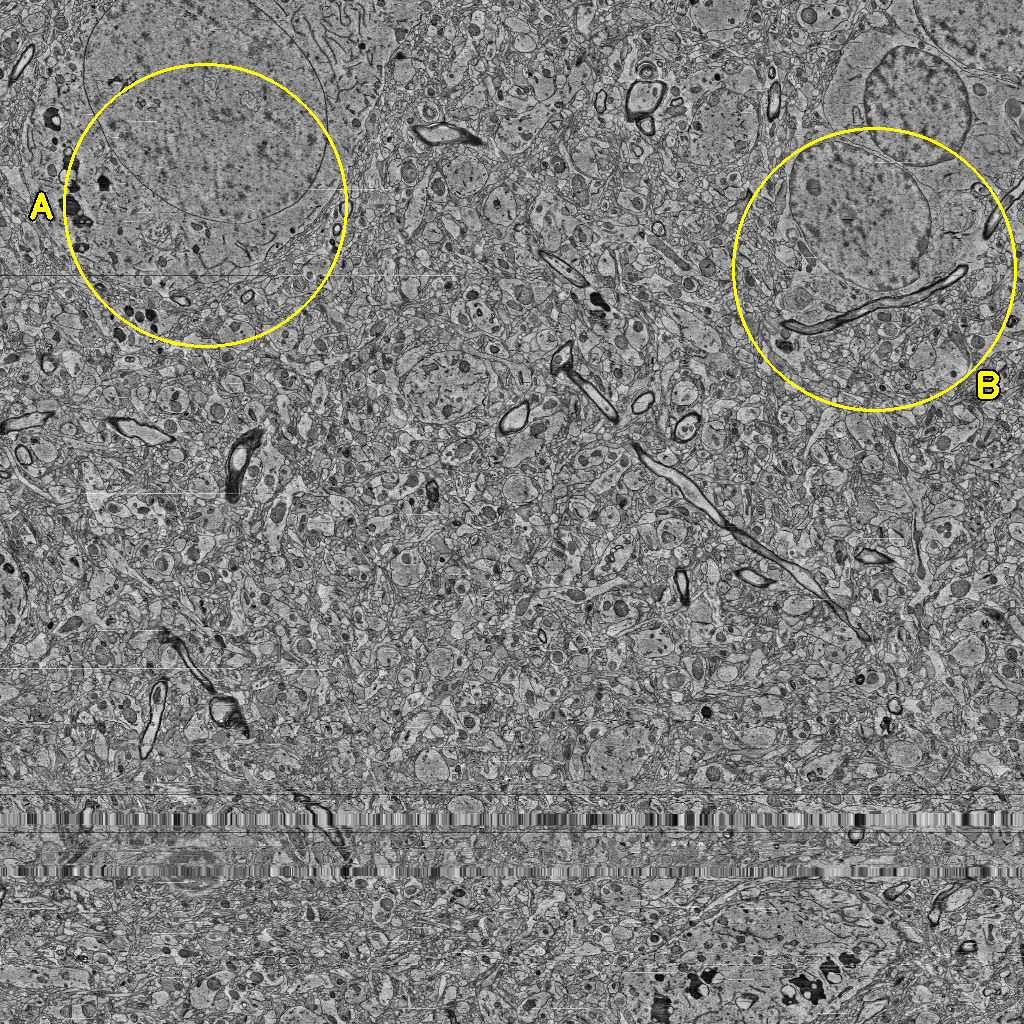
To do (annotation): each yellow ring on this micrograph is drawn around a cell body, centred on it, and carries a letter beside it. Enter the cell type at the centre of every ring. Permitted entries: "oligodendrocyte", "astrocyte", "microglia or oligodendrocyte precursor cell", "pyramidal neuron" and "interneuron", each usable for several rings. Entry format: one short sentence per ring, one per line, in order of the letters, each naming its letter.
Ring A: the cell at its centre is a pyramidal neuron.
Ring B: the cell at its centre is an astrocyte.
